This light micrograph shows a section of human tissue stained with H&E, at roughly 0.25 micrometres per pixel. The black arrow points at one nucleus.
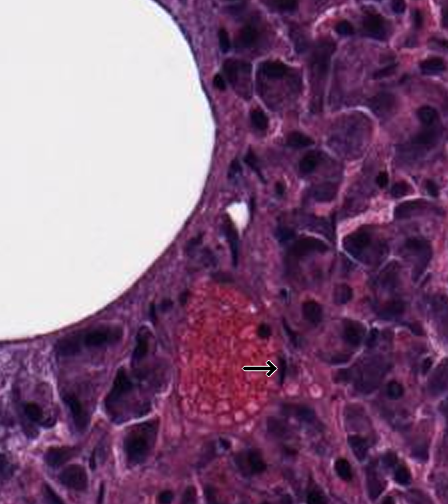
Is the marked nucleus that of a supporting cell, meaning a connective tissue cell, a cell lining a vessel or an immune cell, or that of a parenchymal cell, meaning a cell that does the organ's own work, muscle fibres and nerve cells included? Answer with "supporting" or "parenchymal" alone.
supporting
